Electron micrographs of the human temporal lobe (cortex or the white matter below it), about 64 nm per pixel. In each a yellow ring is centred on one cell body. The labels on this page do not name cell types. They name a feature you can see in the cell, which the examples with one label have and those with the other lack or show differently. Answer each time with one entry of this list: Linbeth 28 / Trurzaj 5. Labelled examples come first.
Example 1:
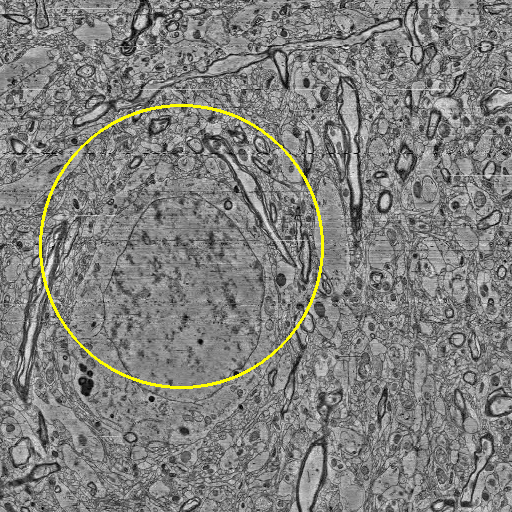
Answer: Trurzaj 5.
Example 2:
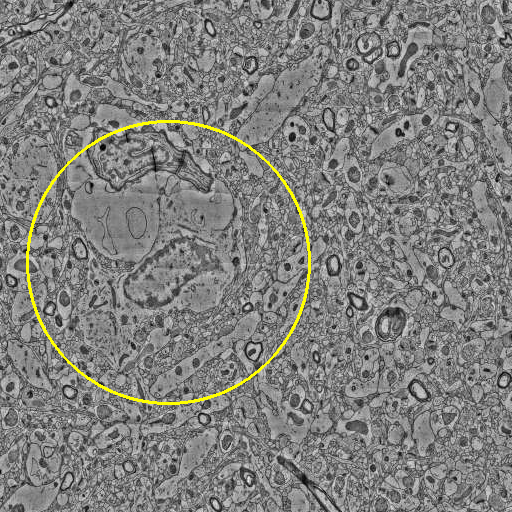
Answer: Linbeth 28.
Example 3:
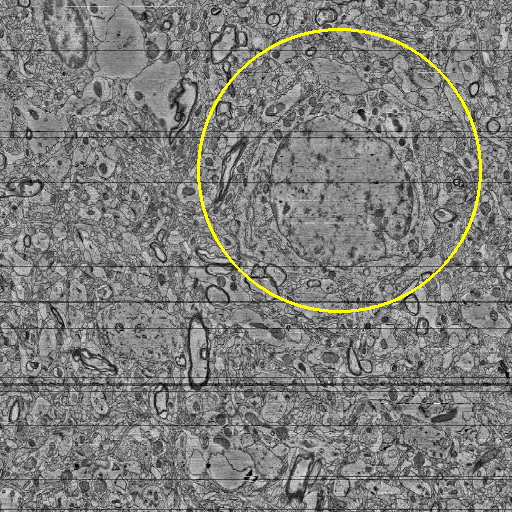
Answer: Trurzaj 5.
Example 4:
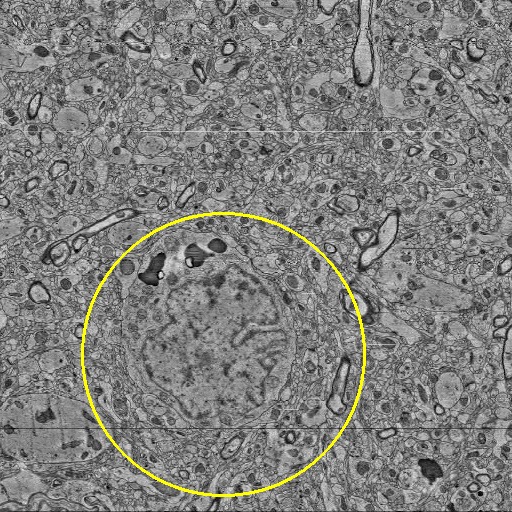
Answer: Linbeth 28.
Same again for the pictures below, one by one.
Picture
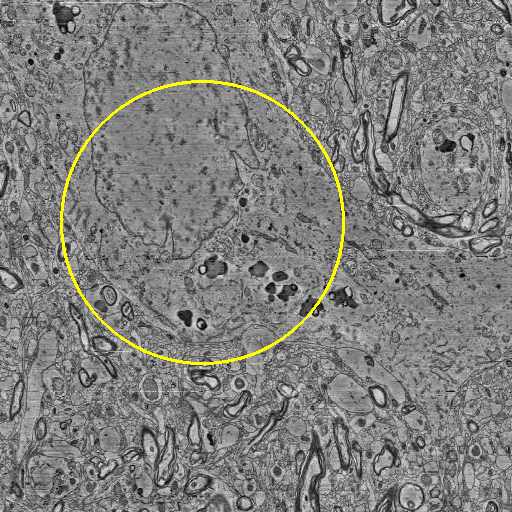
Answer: Linbeth 28.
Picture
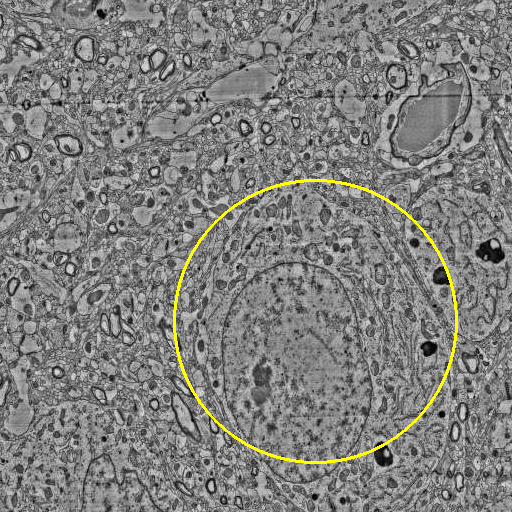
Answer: Trurzaj 5.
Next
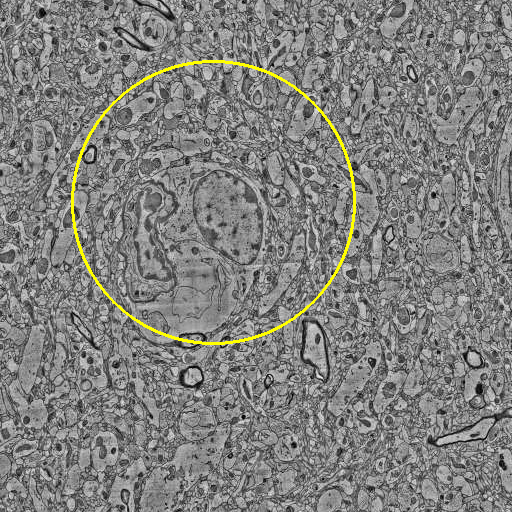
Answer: Trurzaj 5.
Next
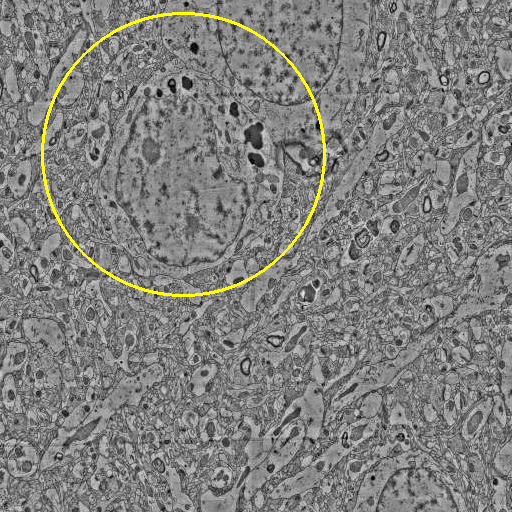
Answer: Trurzaj 5.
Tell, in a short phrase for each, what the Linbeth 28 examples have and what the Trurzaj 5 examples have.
Linbeth 28: deeply folded or indented nuclear envelopes; Trurzaj 5: smooth nuclear envelopes without deep folds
